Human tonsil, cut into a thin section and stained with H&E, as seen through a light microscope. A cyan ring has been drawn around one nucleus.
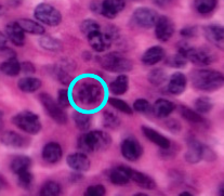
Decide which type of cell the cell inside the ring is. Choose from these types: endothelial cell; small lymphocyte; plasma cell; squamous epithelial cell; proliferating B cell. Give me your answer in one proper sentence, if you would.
As to its cell type, the cell inside the ring is a plasma cell.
